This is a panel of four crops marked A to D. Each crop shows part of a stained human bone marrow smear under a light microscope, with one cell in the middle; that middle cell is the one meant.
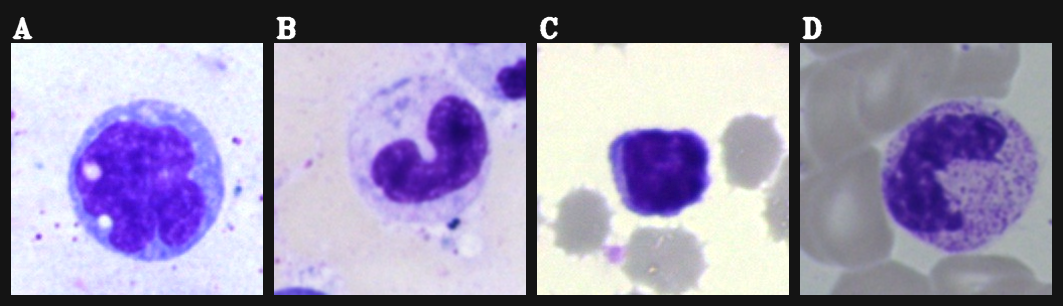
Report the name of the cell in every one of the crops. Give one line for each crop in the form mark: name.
A: monocyte
B: band neutrophil
C: lymphocyte
D: band neutrophil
